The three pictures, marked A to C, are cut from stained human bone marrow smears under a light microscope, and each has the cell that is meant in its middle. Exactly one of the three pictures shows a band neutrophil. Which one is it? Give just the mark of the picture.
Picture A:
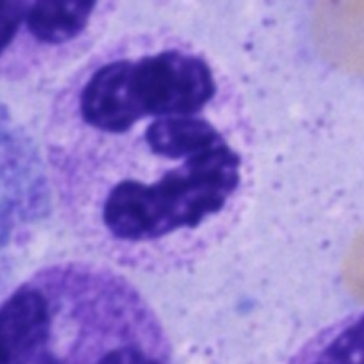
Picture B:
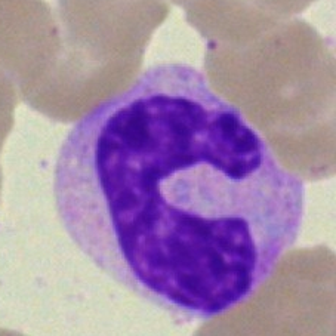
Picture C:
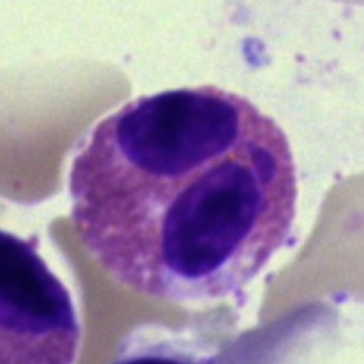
B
